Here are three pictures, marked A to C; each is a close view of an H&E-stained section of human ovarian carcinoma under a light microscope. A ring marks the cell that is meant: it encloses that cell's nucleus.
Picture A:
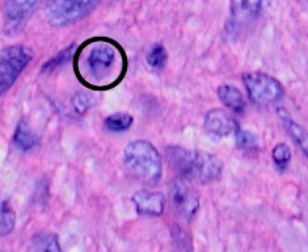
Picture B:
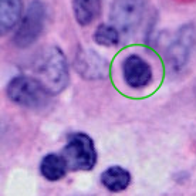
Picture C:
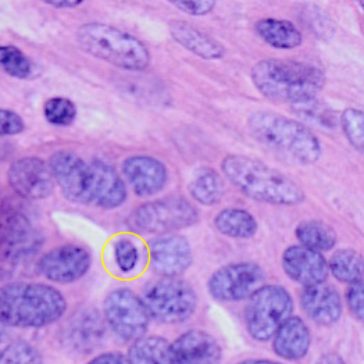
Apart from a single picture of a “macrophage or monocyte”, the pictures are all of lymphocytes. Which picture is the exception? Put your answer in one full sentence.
Picture A is the one that shows the “macrophage or monocyte”.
